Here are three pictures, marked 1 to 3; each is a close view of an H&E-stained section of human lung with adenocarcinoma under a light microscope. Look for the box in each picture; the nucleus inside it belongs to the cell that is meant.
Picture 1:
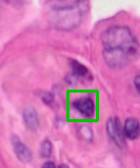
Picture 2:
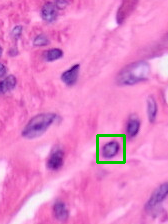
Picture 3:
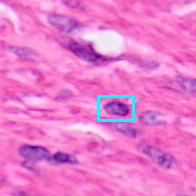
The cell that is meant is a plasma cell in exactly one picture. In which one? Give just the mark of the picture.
1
